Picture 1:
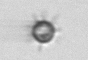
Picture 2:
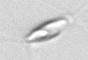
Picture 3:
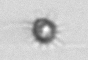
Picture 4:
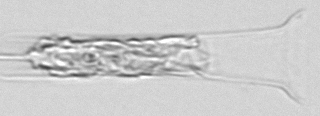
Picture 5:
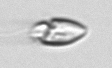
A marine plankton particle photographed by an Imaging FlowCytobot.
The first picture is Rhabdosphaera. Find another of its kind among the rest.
Picture 3.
